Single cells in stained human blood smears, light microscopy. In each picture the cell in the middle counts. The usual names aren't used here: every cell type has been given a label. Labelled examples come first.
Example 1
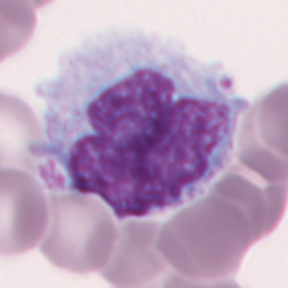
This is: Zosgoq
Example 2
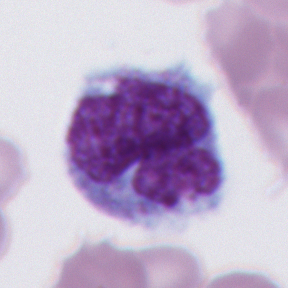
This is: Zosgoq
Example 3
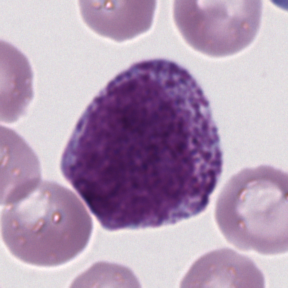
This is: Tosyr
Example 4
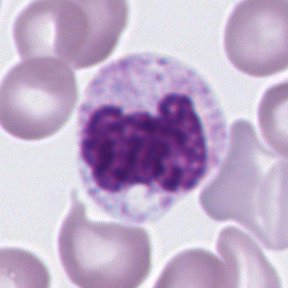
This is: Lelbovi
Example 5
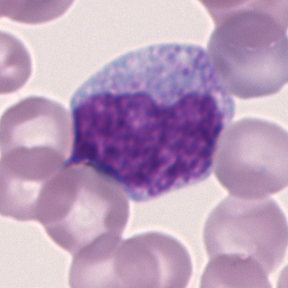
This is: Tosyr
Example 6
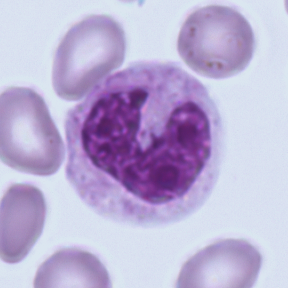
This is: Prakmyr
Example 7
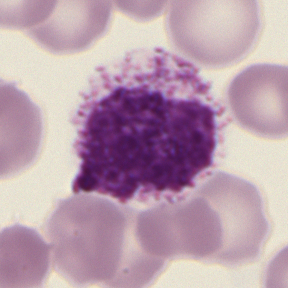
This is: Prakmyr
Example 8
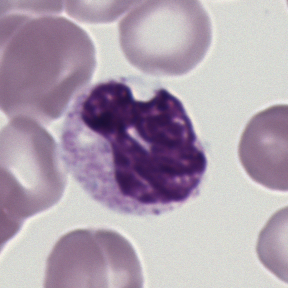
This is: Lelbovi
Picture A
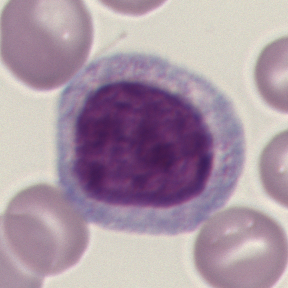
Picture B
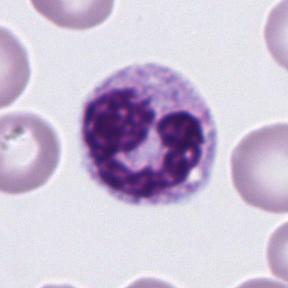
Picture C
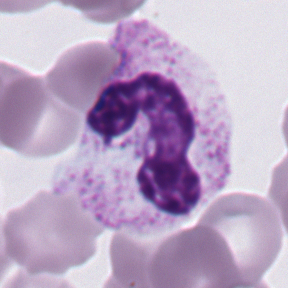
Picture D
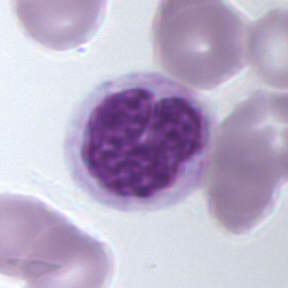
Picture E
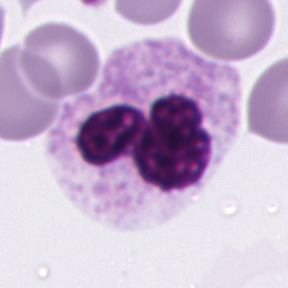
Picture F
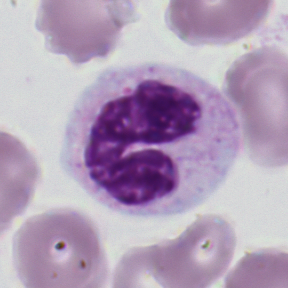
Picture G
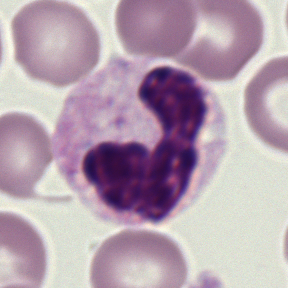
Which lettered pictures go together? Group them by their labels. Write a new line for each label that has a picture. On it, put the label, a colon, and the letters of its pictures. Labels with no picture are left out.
Tosyr: A
Lelbovi: B, C, E, G
Prakmyr: D, F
